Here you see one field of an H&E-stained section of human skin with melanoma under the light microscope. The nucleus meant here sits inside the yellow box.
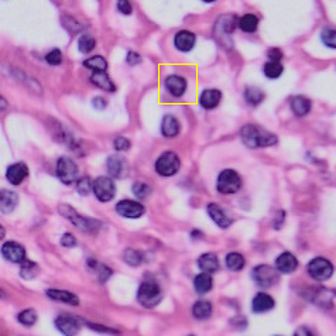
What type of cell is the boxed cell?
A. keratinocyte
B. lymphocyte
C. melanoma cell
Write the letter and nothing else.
B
